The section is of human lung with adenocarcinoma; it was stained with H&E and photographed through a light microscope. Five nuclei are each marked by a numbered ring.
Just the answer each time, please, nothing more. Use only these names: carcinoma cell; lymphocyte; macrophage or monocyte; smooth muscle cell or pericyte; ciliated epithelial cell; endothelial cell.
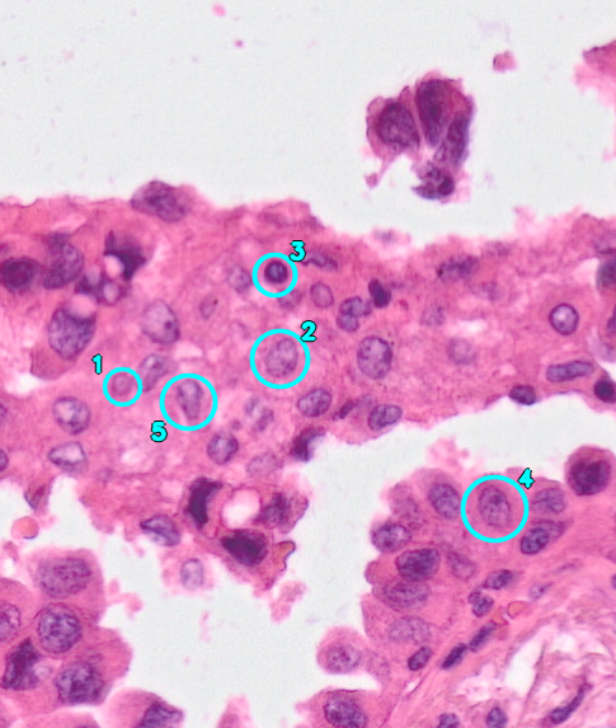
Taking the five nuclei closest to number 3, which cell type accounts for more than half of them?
macrophage or monocyte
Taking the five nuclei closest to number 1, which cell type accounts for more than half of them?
macrophage or monocyte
